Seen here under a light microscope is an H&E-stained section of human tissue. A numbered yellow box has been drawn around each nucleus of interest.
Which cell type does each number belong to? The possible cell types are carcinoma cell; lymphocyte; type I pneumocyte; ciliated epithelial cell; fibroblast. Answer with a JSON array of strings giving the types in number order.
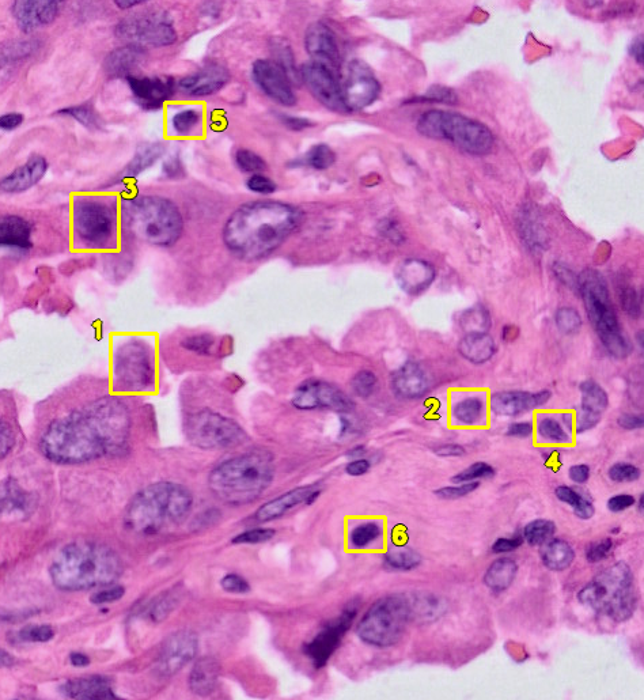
["carcinoma cell", "lymphocyte", "carcinoma cell", "lymphocyte", "lymphocyte", "lymphocyte"]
